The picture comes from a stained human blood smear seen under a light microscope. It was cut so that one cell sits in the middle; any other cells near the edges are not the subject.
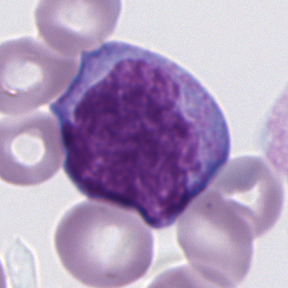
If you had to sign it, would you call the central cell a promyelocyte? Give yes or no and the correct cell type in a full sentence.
Yes, as for the central cell, it is a promyelocyte.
